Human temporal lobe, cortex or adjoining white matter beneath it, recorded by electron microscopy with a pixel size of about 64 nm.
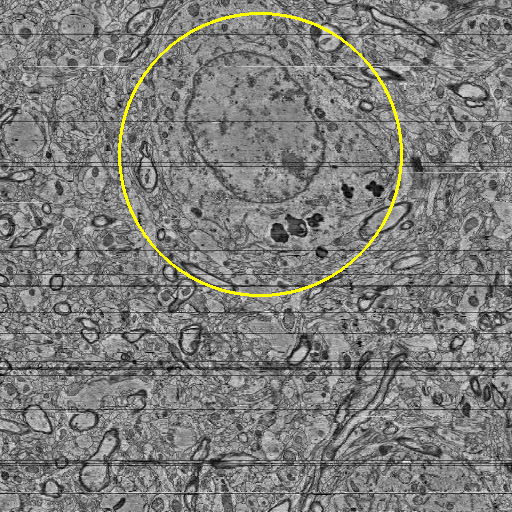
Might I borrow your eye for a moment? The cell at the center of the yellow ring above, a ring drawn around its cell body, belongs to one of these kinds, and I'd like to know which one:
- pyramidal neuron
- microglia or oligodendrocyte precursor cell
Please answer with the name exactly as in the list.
pyramidal neuron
